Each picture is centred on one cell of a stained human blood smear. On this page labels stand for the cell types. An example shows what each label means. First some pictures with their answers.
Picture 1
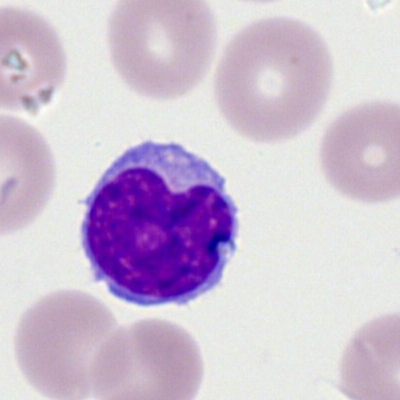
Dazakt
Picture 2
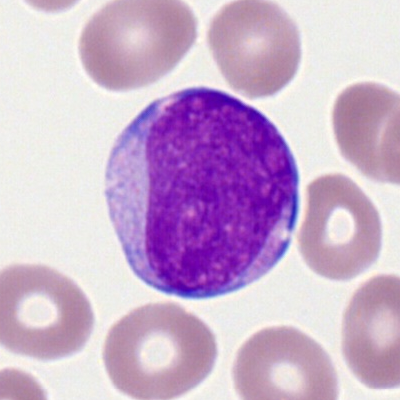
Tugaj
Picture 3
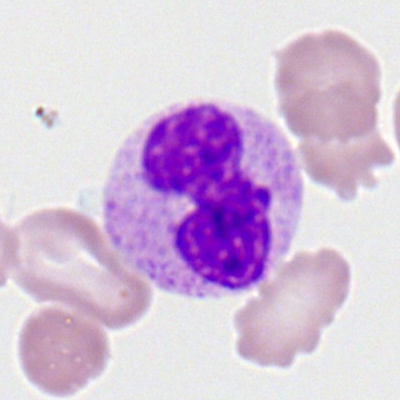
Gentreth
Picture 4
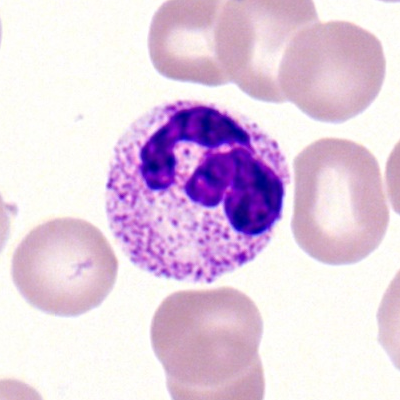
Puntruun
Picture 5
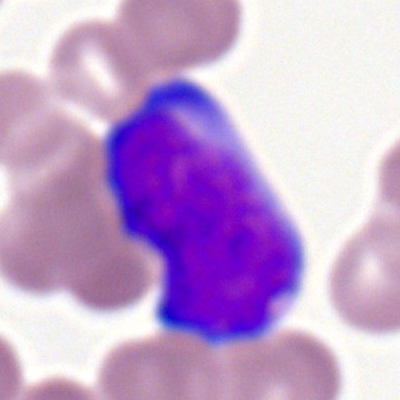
Tugaj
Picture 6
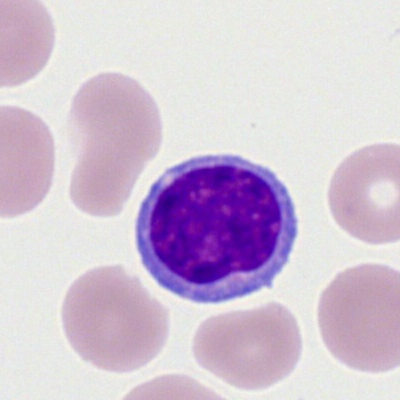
Dazakt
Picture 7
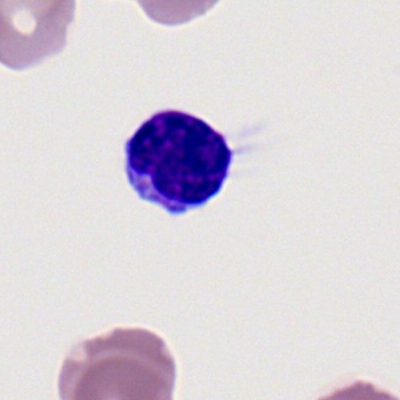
Dazakt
